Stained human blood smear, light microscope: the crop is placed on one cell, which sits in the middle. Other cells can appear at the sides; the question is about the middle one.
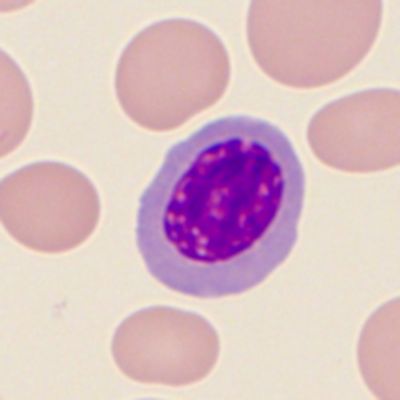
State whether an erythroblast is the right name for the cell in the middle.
yes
